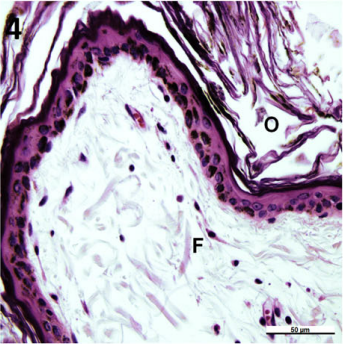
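Skin with a thin epidermis of only a few cell layers, with small, dark-staining nuclei. Above it lie loose, wavy, layered sheets of keratin that have partly lifted away from the surface, an orthokeratotic layer without retained nuclei. The dermis below is pale and loosely textured. Scattered spindle-shaped fibroblasts with elongated nuclei lie among pale fibres. A small vessel containing red blood cells is visible.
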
